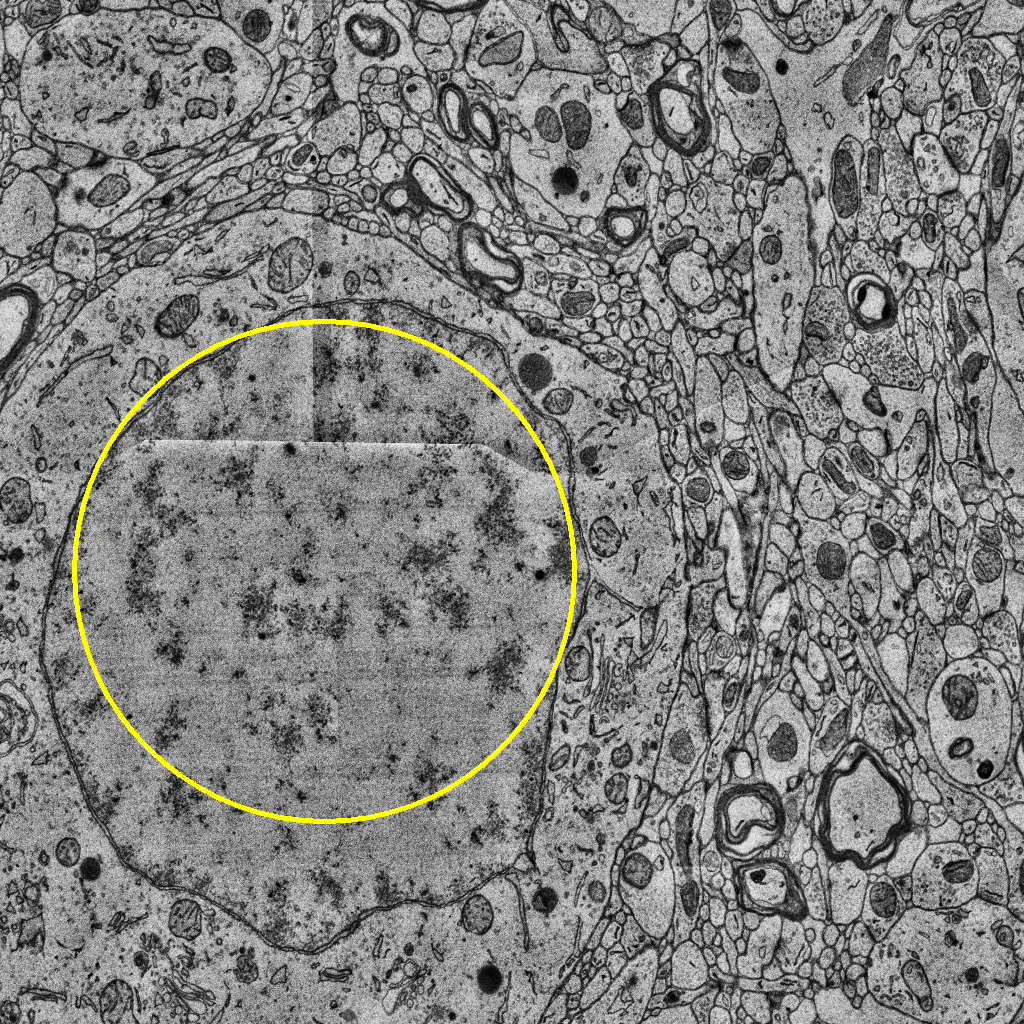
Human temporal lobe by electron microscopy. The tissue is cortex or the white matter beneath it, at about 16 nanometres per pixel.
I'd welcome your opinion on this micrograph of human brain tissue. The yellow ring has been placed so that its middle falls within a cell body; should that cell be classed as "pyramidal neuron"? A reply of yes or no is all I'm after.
yes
